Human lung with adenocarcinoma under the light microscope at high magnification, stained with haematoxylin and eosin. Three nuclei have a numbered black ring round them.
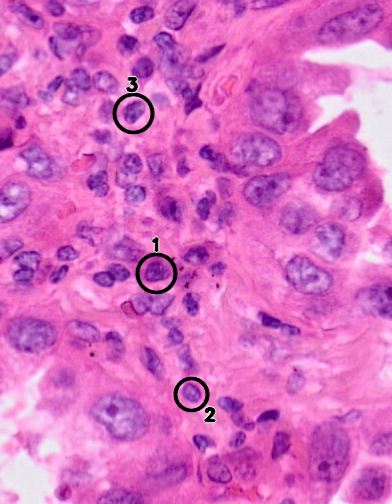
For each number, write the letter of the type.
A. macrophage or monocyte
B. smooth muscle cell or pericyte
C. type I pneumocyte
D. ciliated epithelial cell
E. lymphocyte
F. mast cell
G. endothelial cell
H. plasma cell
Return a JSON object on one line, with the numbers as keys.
{"1": "H", "2": "F", "3": "E"}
